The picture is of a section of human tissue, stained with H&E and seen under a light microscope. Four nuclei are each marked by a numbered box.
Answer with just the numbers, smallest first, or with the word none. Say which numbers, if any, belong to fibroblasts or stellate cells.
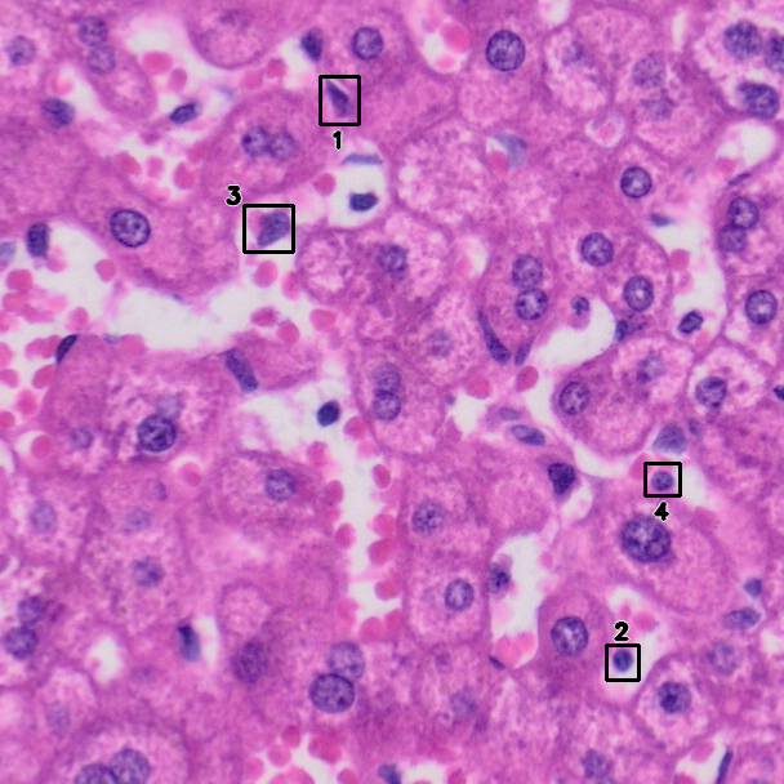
1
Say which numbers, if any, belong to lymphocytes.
2, 4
